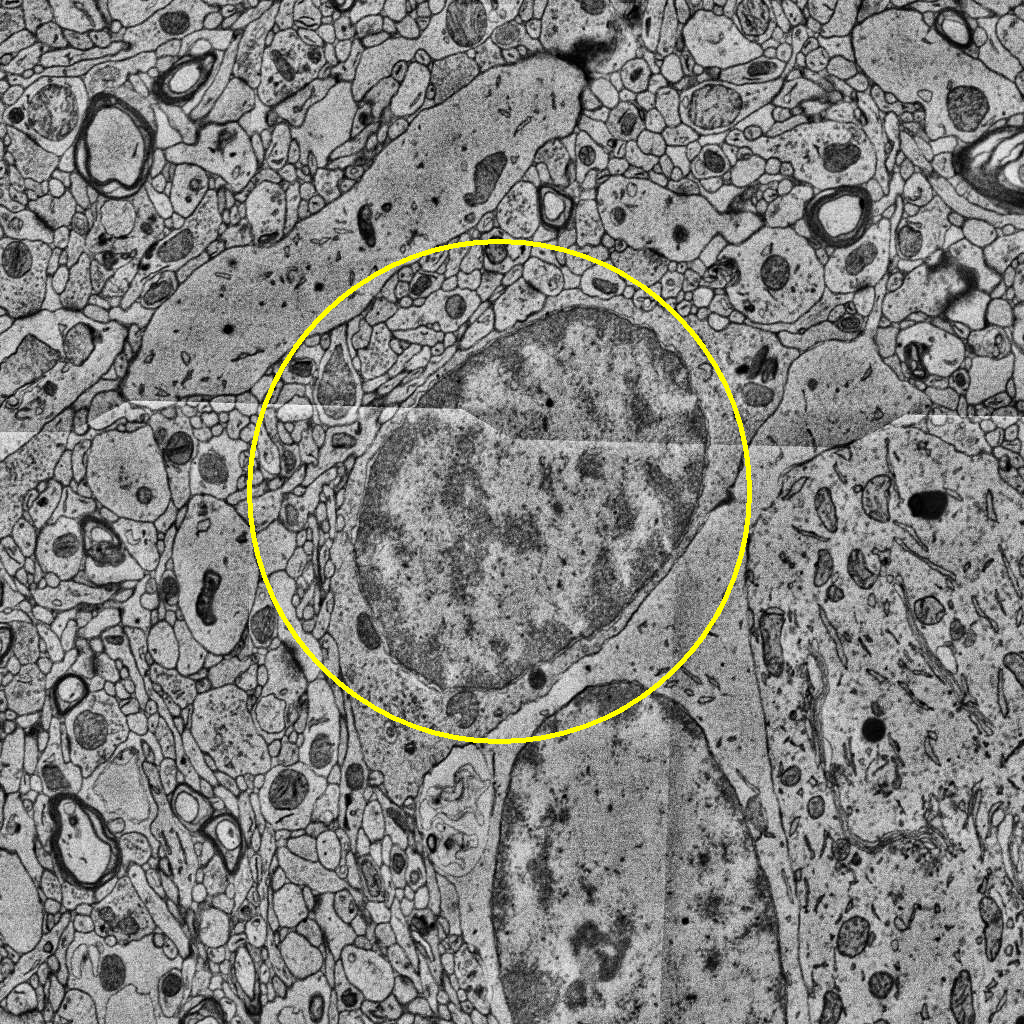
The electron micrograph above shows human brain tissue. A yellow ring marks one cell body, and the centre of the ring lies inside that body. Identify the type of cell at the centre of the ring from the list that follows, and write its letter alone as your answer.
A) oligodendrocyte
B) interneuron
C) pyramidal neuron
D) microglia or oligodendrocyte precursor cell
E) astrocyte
A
